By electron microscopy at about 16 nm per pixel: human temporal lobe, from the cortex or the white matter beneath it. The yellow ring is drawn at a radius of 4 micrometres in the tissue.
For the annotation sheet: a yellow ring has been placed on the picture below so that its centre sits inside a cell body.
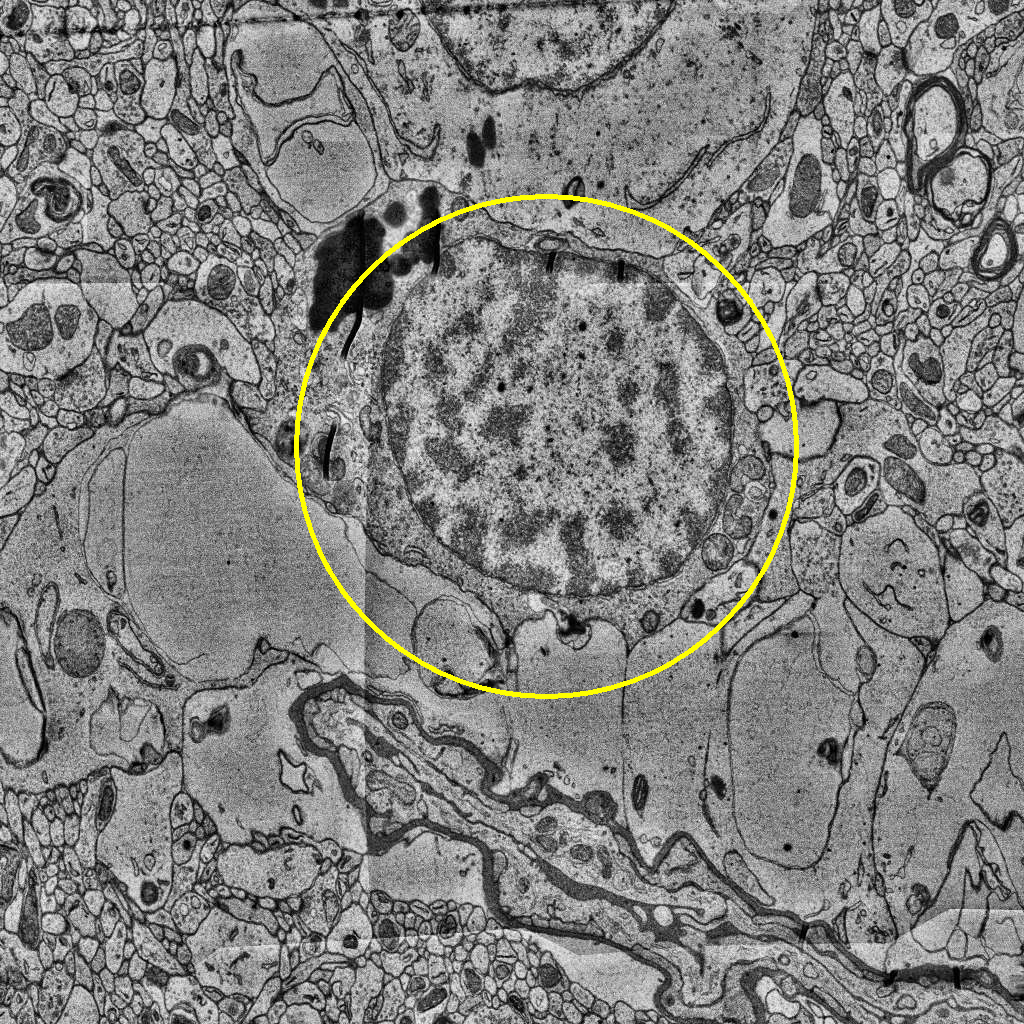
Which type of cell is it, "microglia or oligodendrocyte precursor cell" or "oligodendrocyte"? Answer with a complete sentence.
The cell at the ring's centre is an oligodendrocyte.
